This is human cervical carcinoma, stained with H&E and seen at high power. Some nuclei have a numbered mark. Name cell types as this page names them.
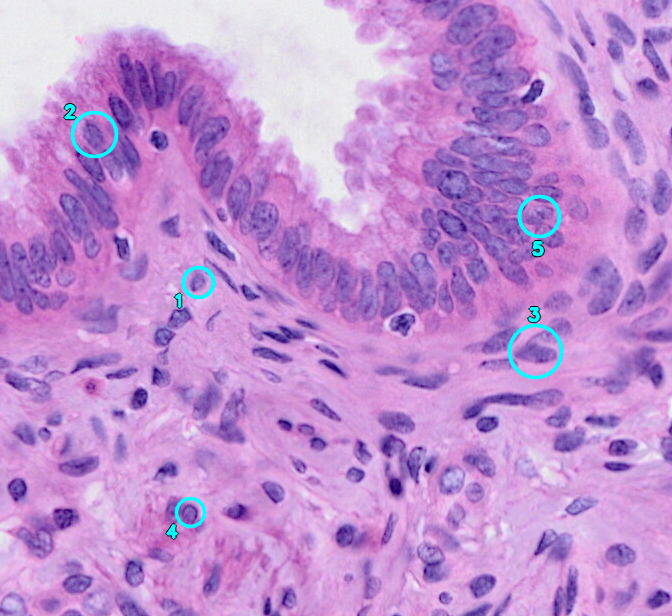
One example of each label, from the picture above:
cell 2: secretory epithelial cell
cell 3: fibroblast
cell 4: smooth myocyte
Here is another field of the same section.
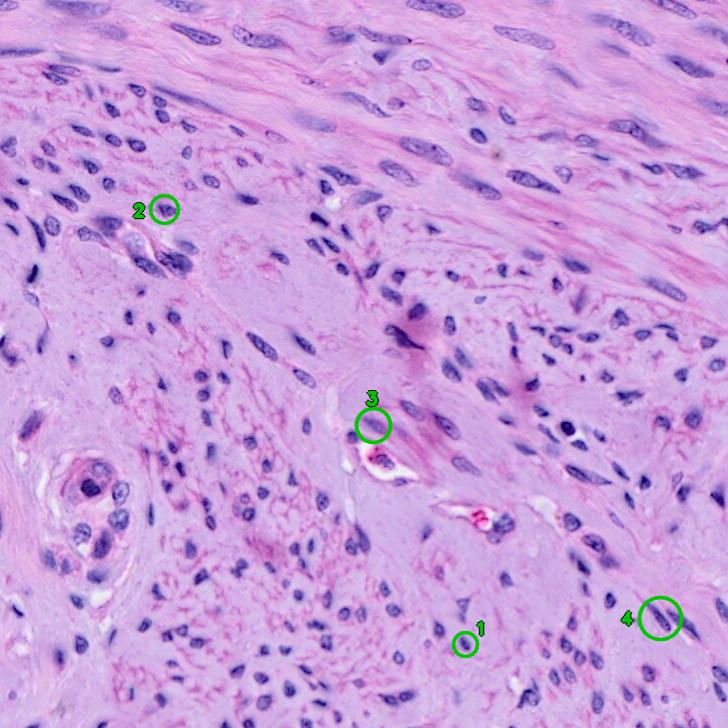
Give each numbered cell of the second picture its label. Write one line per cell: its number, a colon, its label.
1: fibroblast
2: smooth myocyte
3: smooth myocyte
4: fibroblast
